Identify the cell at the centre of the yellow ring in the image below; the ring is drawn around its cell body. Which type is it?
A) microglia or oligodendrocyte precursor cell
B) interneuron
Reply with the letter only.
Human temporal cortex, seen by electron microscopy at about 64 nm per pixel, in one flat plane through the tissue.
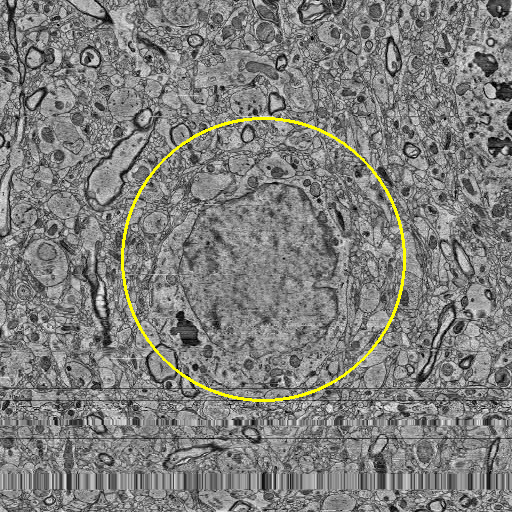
B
